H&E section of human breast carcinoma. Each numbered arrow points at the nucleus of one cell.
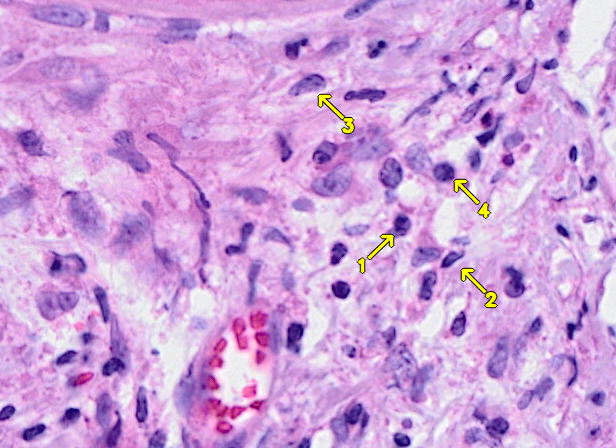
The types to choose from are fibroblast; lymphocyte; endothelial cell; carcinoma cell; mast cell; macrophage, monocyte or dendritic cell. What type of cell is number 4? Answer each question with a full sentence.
Cell 4 of the marked set is a lymphocyte.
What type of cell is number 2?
The correct answer for cell 2 is a lymphocyte.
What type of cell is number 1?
The cell to which the number 1 is assigned is a lymphocyte.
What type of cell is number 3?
The cell indicated with the number 3 is classed as a macrophage, monocyte or dendritic cell.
